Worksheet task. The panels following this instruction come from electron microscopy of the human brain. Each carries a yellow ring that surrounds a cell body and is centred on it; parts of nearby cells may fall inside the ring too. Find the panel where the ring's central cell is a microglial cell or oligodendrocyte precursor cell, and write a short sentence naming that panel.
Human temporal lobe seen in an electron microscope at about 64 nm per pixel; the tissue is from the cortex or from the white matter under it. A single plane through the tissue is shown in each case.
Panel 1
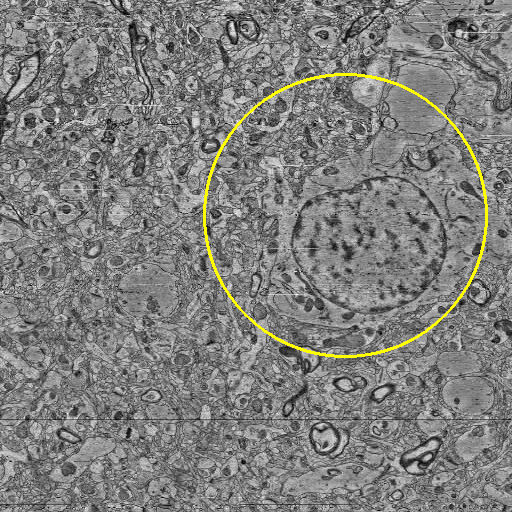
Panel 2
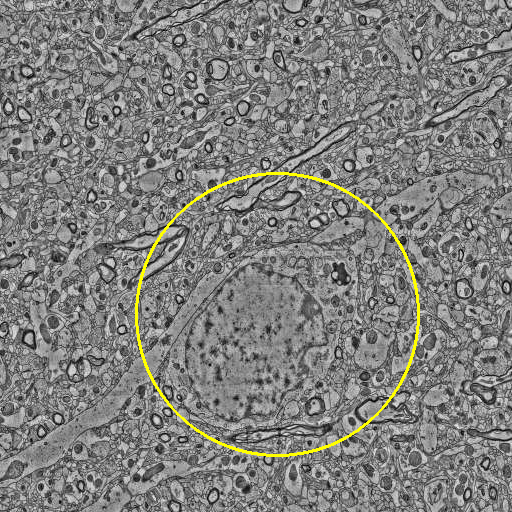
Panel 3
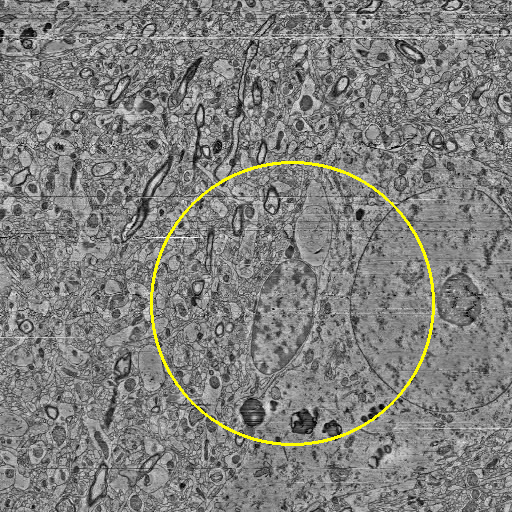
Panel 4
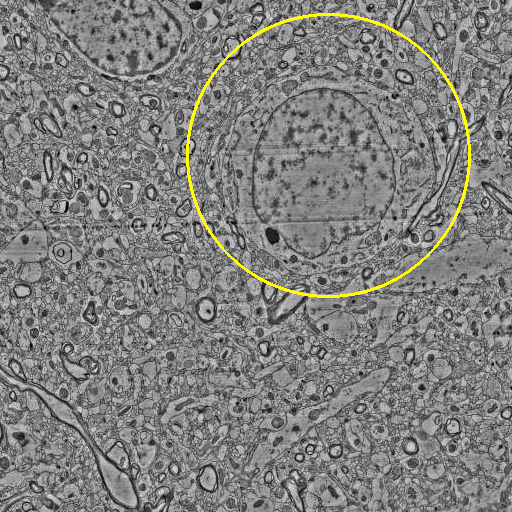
The cell sought is in Panel 3.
